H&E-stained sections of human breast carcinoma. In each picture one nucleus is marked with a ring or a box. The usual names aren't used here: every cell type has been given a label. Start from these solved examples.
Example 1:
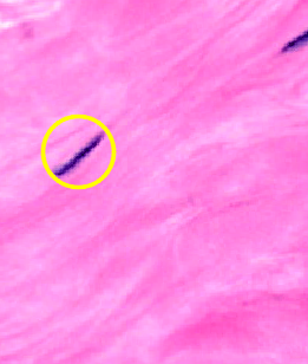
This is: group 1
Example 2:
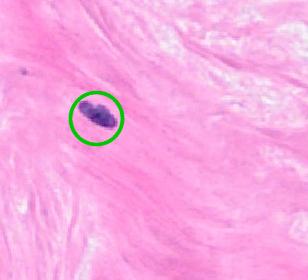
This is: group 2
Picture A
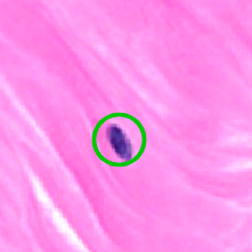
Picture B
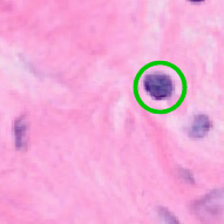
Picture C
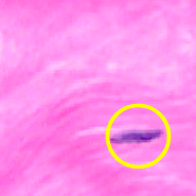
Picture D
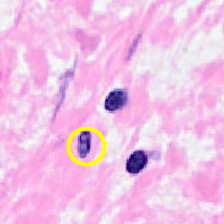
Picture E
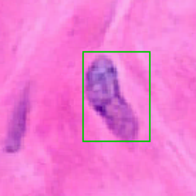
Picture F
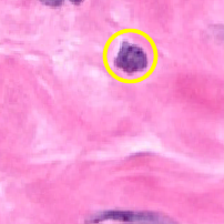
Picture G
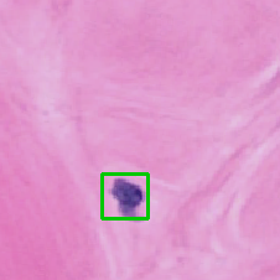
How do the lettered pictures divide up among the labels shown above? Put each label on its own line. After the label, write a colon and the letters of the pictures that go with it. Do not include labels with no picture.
group 1: C, E
group 2: A, B, D, F, G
